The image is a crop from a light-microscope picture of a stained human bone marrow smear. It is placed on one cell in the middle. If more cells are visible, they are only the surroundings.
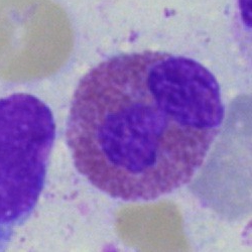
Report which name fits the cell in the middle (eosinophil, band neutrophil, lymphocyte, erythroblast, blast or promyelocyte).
eosinophil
